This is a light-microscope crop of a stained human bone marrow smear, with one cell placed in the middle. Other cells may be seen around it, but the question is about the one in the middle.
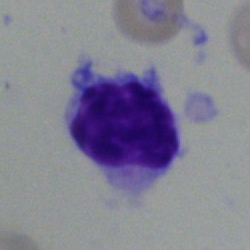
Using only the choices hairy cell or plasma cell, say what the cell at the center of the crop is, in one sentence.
In the center of this field lies a hairy cell.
